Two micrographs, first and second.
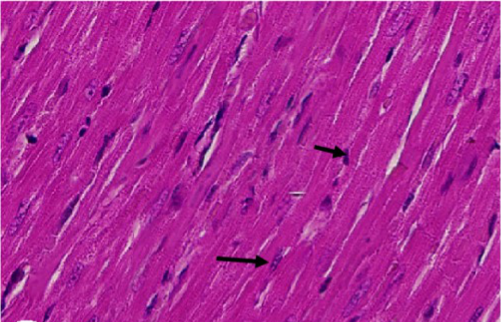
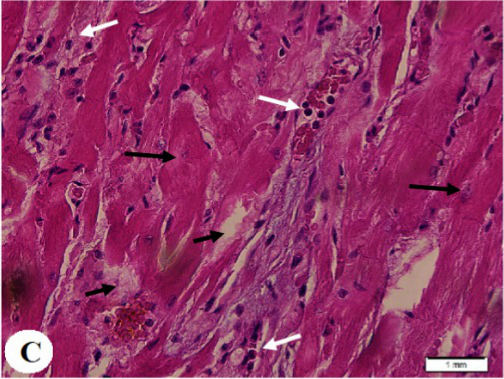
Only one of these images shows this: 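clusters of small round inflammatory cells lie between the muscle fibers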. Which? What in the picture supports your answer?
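The second image. Second image: clusters of small round dark nuclei lie in loose tissue between fibers near congested vessels. First image: evenly spaced parallel fibers with elongated nuclei and no clusters of round cells.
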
